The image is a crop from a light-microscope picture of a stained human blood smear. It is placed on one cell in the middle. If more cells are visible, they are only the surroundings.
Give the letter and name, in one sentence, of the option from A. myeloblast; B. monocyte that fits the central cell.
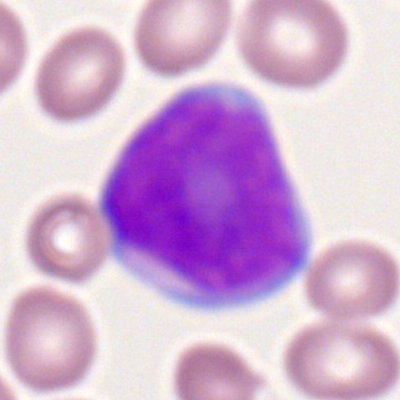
Option A is correct; the cell in the middle is a myeloblast.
